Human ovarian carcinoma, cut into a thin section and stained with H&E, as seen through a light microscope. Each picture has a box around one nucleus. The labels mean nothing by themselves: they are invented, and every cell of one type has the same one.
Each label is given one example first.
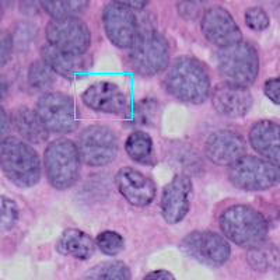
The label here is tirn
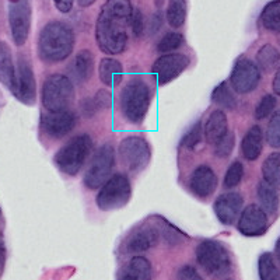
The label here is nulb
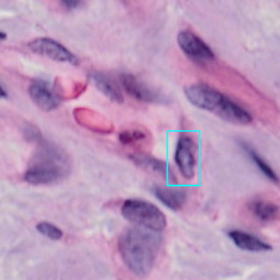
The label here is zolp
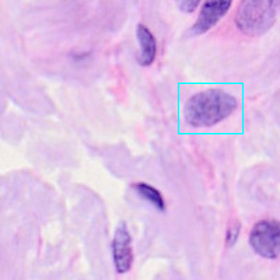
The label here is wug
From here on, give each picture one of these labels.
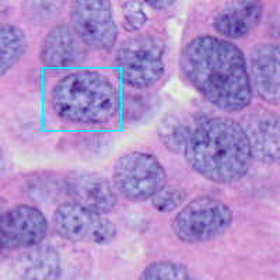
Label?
nulb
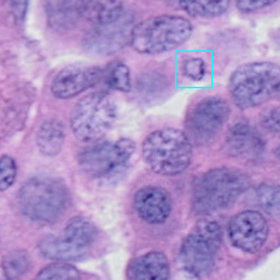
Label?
tirn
